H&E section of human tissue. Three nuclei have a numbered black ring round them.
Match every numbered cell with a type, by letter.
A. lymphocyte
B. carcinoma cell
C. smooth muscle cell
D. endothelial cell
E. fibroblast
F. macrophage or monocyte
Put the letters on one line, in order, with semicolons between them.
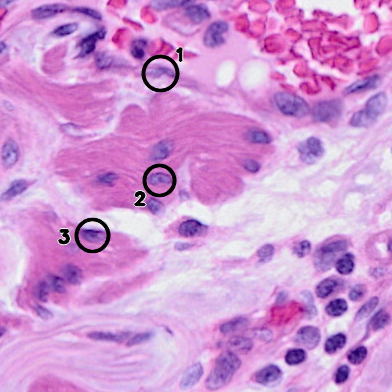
D; C; C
